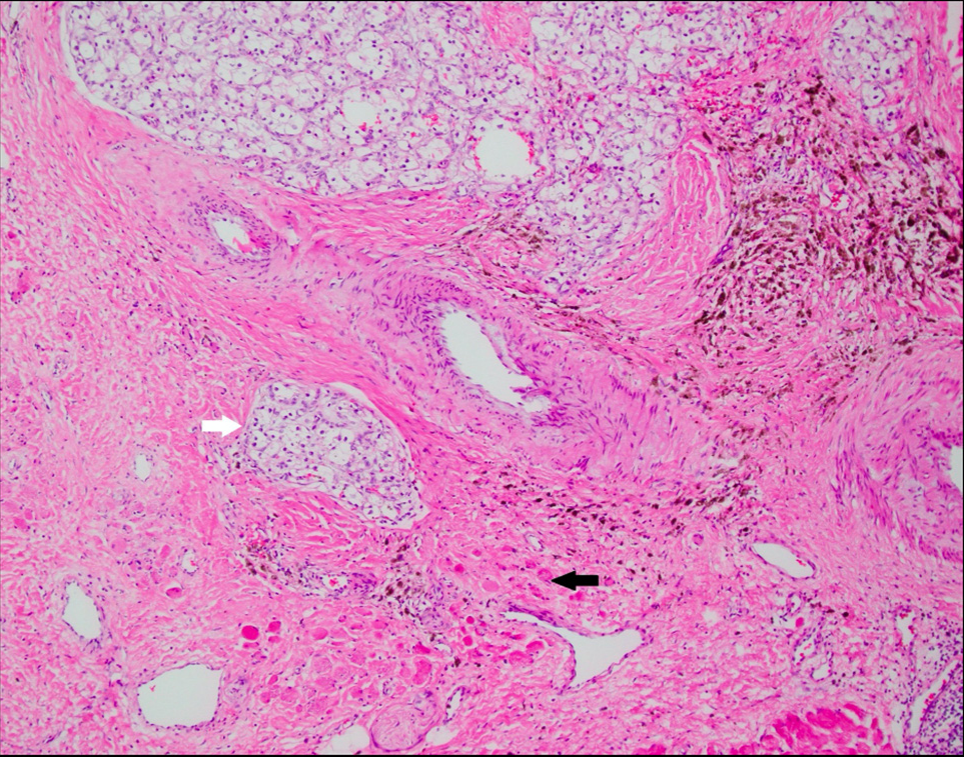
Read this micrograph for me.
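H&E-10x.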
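Nests of cells with clear, empty-looking cytoplasm, crisp cell borders and small dark nuclei lie in the upper part of the field, and a smaller isolated nest sits in the middle left, all set among fine vessels. Around them, broad bands of pink collagen with spindle-shaped nuclei make a fibrotic background. Many cells in this stroma are stuffed with coarse brown pigment, most densely in the upper right.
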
